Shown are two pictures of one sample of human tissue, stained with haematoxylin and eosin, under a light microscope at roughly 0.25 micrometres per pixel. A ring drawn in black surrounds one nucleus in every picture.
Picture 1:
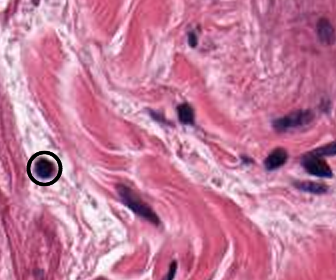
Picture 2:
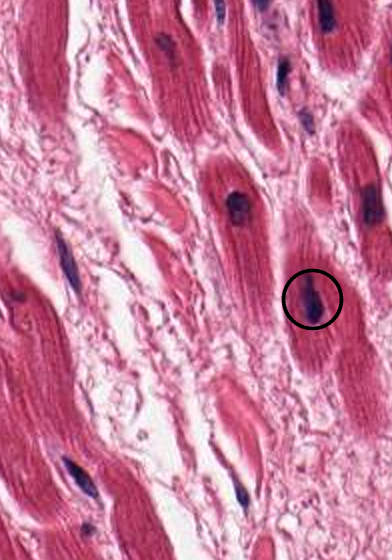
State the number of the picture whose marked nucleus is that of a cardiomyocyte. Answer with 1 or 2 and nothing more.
2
